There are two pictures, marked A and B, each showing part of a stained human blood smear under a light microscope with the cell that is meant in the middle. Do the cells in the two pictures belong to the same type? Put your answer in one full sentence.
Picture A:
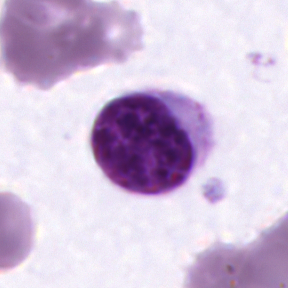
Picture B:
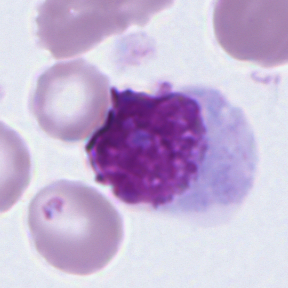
Yes, the two pictures both show plasma cells.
